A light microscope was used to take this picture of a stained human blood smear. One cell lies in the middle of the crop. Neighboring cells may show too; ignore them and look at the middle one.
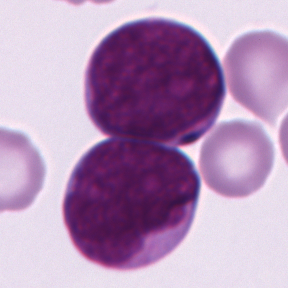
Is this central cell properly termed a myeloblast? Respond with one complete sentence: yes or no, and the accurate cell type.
Yes, the cell at the centre of the field is a myeloblast.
